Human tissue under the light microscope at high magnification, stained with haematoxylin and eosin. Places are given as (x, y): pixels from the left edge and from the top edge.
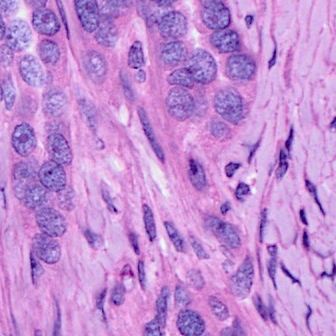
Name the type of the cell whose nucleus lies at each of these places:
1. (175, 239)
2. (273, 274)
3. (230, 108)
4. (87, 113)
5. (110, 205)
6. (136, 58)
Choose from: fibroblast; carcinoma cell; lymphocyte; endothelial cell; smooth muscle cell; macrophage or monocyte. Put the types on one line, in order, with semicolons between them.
fibroblast; fibroblast; carcinoma cell; fibroblast; fibroblast; macrophage or monocyte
